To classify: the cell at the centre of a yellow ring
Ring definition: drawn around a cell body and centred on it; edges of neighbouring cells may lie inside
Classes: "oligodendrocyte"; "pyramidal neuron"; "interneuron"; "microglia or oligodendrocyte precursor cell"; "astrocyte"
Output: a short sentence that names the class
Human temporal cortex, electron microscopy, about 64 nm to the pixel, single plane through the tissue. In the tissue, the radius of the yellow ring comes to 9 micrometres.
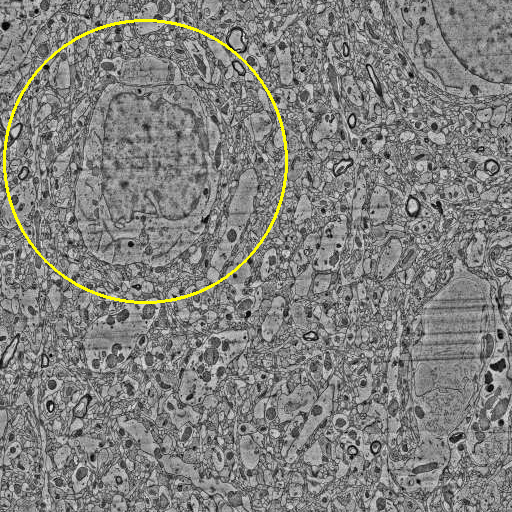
The ringed cell is an interneuron.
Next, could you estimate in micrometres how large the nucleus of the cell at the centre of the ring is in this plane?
About 9 by 7 micrometers, in this plane.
